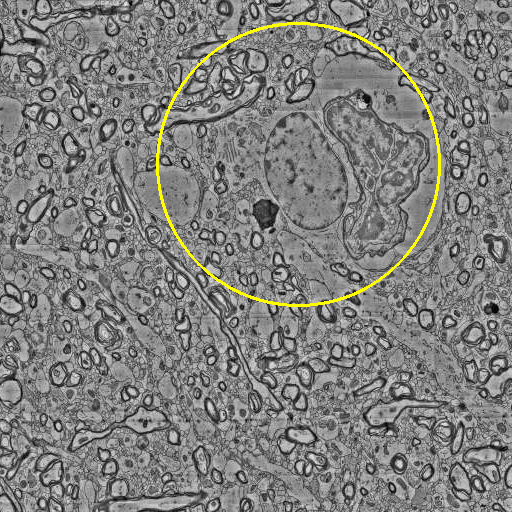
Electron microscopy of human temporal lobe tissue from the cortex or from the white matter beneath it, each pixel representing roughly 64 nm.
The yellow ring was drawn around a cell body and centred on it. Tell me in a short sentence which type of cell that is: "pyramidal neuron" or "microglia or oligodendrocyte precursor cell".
The cell at the ring's centre is a microglial cell or oligodendrocyte precursor cell.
